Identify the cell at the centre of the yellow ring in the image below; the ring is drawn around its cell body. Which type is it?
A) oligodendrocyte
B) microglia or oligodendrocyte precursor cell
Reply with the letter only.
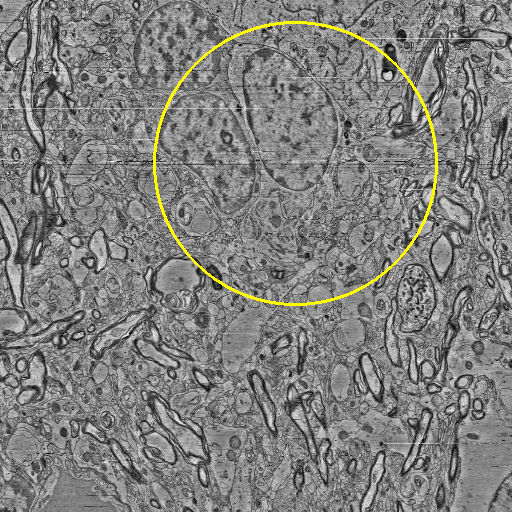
B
